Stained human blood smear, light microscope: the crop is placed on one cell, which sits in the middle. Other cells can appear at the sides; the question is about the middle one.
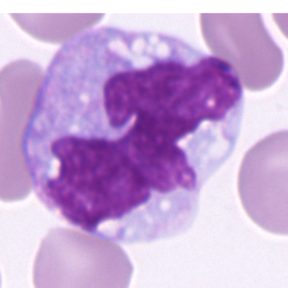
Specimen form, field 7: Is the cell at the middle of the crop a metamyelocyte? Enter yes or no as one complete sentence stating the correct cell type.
No, the cell at the centre of the crop corresponds to a monocyte, not a metamyelocyte.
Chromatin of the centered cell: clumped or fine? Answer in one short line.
The chromatin pattern is fine and free of coarse clumps.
